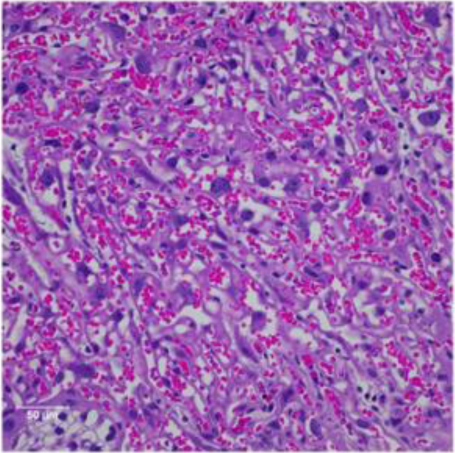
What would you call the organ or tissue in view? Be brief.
Placental labyrinth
